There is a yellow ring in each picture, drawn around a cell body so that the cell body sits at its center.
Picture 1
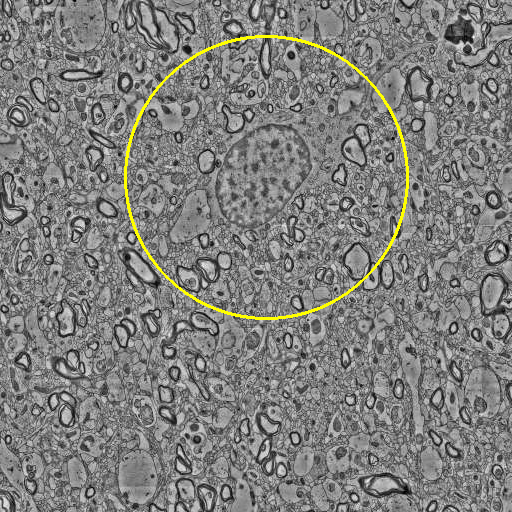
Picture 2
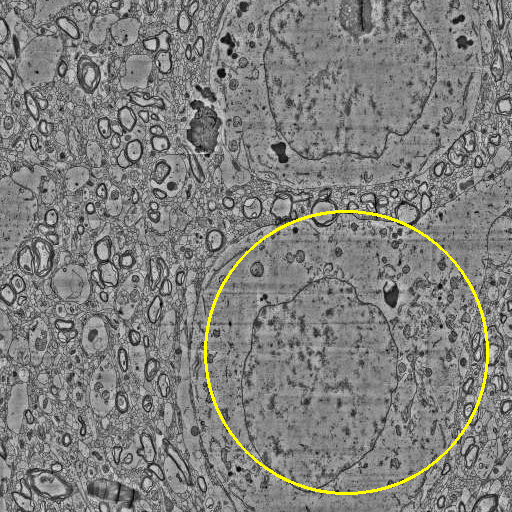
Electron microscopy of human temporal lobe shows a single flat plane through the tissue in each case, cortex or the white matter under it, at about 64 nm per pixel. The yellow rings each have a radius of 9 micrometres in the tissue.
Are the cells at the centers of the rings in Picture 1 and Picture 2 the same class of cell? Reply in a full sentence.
No, the two cells are two classes of cell.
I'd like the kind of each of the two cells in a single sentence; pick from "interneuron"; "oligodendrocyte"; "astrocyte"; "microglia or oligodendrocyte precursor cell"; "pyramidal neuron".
The first ring marks an oligodendrocyte, and the second ring marks a pyramidal neuron.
